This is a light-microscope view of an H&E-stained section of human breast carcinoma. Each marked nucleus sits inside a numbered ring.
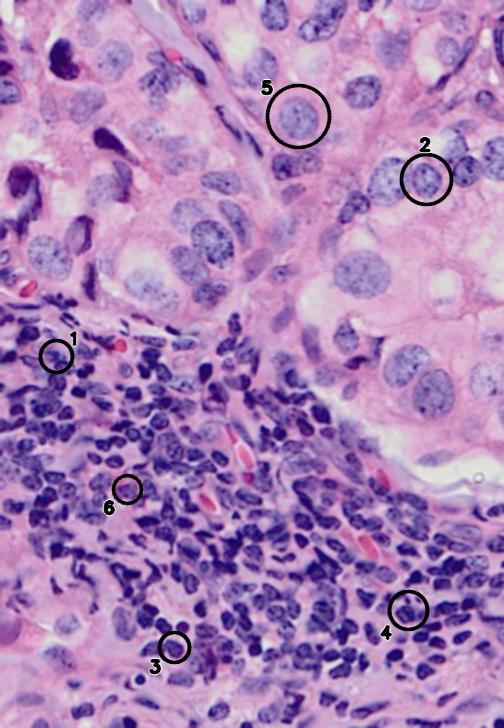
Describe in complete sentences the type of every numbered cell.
Cells 1, 3, 4 and 6 are lymphocytes. Cells 2 and 5 are carcinoma cells.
